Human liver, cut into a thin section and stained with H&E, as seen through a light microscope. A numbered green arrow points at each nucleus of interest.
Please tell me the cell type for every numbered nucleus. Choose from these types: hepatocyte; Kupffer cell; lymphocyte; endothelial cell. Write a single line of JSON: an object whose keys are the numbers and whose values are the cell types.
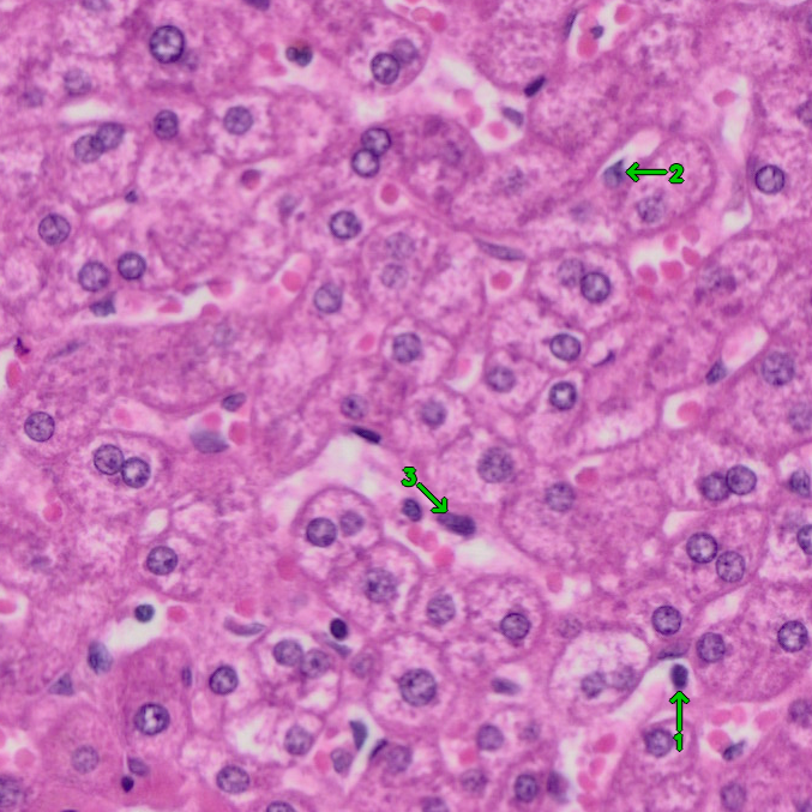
{"1": "lymphocyte", "2": "endothelial cell", "3": "Kupffer cell"}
